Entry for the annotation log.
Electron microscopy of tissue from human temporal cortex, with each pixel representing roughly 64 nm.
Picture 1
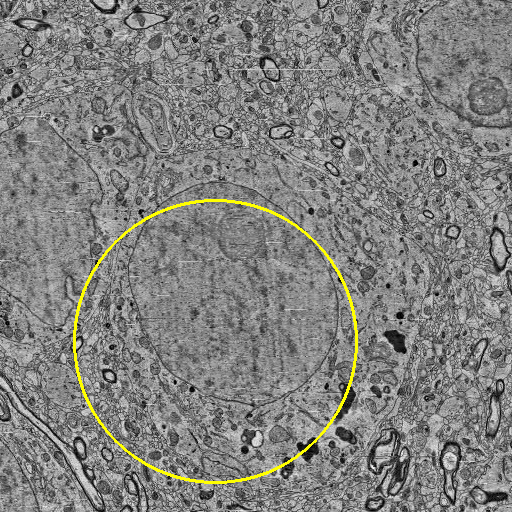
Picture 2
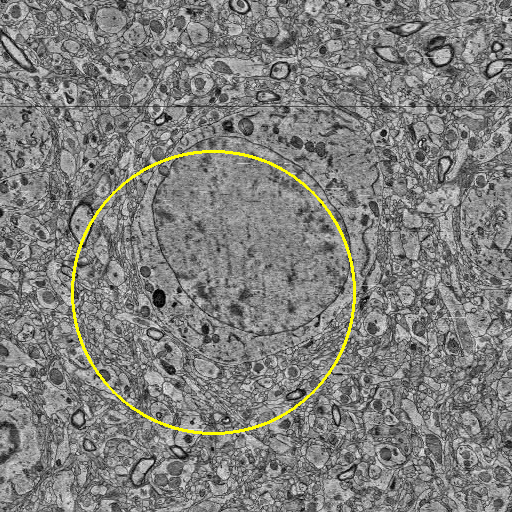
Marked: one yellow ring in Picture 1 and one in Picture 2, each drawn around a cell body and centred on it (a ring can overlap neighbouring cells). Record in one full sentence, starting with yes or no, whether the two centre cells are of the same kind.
Yes, both cells are of the same kind.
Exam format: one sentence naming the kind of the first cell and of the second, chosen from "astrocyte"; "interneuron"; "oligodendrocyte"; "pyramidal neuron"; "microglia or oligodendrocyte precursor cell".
Each of the two rings surrounds a pyramidal neuron.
